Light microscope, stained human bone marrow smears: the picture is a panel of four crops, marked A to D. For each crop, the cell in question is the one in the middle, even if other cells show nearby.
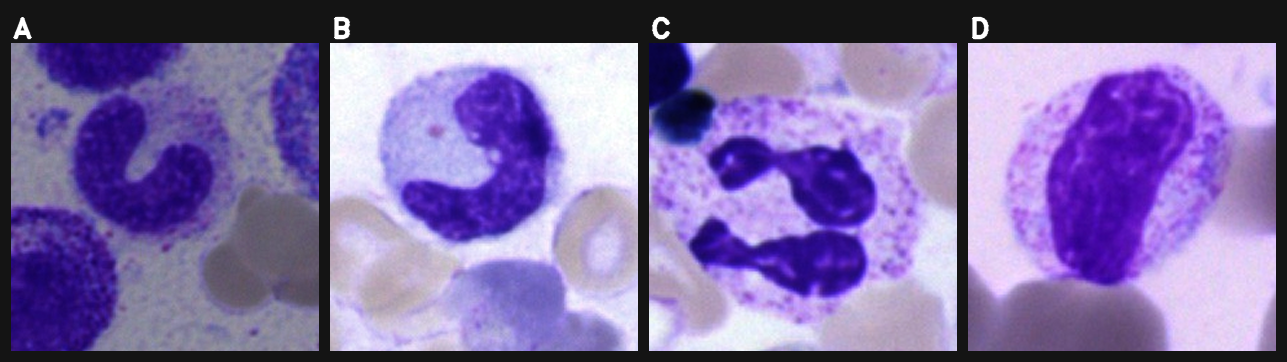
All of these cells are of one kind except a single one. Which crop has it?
C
